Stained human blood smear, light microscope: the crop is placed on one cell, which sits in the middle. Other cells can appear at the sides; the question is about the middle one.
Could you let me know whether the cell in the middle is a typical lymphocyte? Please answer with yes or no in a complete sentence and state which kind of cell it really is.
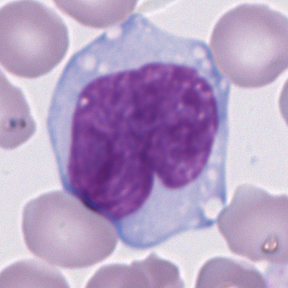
No, the cell under consideration is a myeloblast instead of a typical lymphocyte.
